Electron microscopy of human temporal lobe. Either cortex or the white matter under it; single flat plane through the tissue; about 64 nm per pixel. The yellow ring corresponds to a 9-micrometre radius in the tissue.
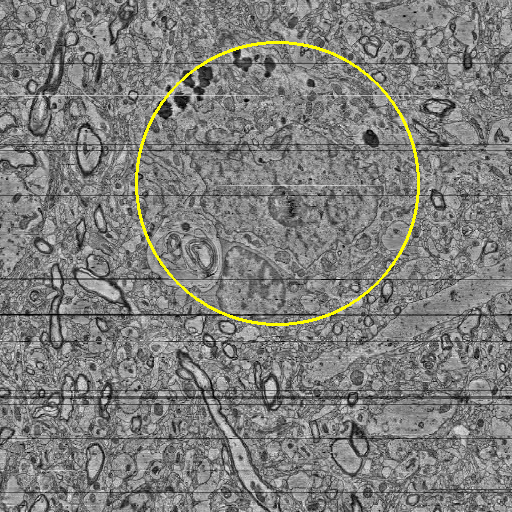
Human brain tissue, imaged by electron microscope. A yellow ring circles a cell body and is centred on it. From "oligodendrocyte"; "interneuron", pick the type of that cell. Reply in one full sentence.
The cell body at the centre of the yellow ring belongs to an interneuron.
